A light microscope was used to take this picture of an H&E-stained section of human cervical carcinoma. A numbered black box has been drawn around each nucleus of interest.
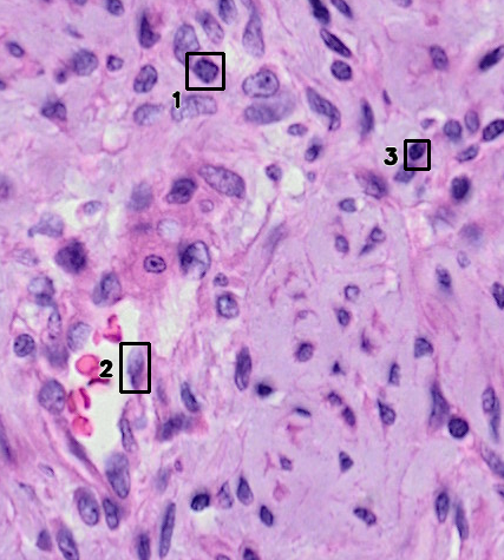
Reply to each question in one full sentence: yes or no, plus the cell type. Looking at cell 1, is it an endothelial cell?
No, what number 1 shows is a lymphocyte, not an endothelial cell.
